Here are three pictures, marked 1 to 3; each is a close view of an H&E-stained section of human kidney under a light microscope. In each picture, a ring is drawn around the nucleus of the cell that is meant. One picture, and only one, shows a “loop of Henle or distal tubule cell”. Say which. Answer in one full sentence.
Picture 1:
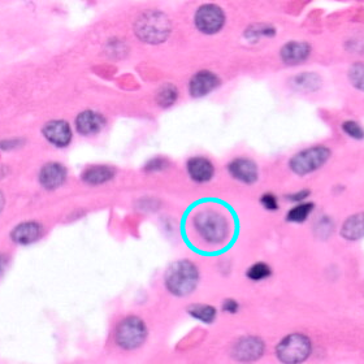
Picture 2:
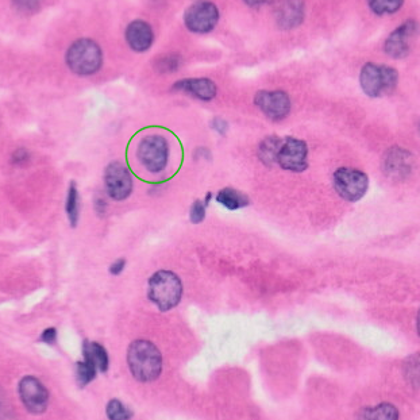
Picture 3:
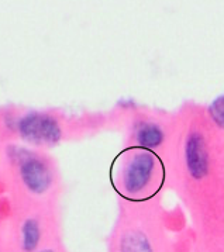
The picture with the “loop of Henle or distal tubule cell” is 1.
